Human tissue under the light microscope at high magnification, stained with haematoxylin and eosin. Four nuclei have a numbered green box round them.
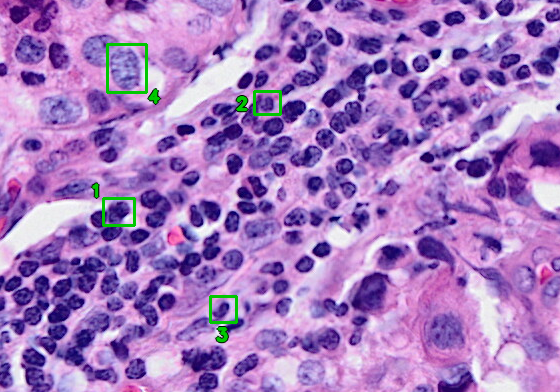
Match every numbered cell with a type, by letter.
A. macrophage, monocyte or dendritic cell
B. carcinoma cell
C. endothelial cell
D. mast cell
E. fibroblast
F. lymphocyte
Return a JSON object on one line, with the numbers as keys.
{"1": "F", "2": "F", "3": "F", "4": "B"}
